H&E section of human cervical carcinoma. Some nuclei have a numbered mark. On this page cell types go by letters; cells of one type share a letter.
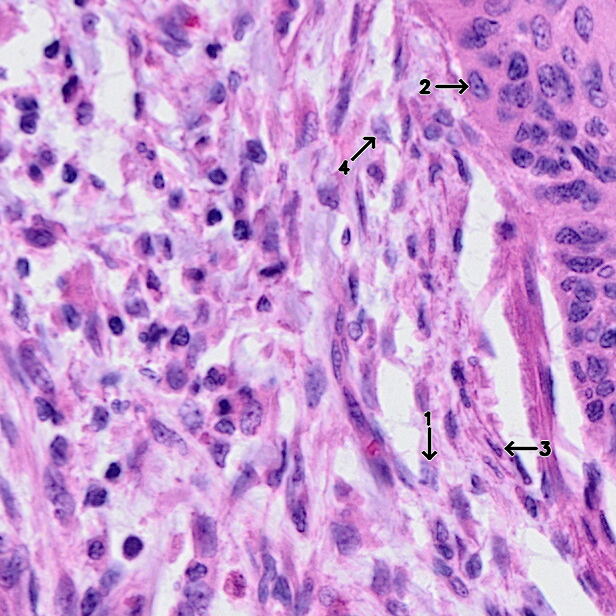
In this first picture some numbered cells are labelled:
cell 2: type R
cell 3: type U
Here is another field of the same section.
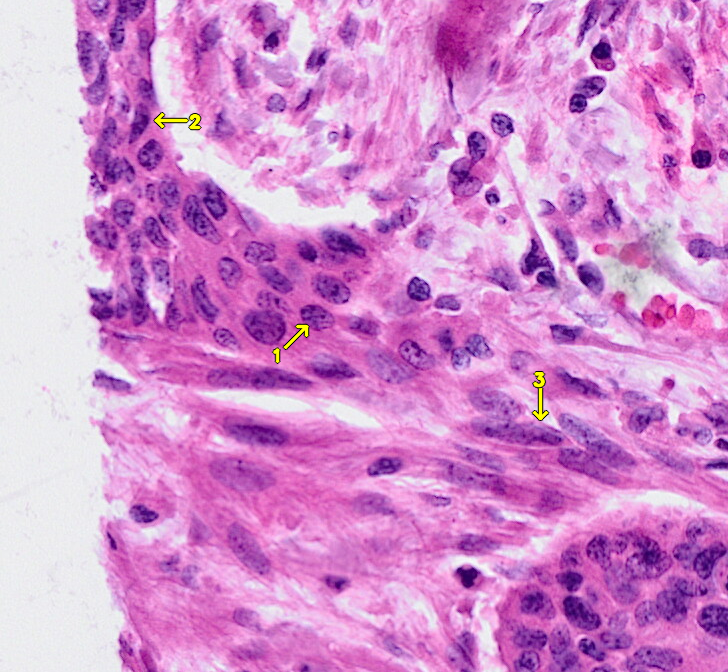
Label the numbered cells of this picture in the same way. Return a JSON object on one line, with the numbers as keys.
{"1": "type R", "2": "type R", "3": "type U"}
